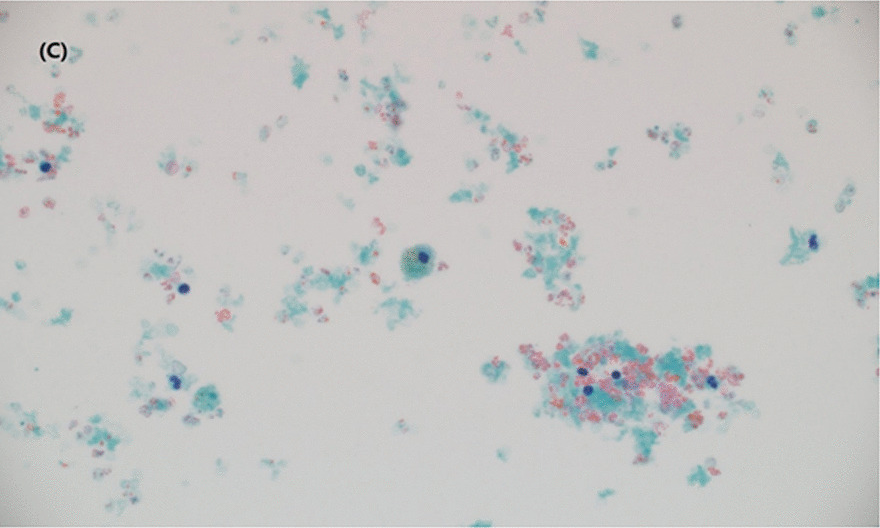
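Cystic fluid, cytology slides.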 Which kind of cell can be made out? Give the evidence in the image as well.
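Macrophages and lymphocytes. Scattered small cells with small, round, dark nuclei. A larger single cell with granular cytoplasm and an eccentric nucleus. No crowded clusters of large cells.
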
